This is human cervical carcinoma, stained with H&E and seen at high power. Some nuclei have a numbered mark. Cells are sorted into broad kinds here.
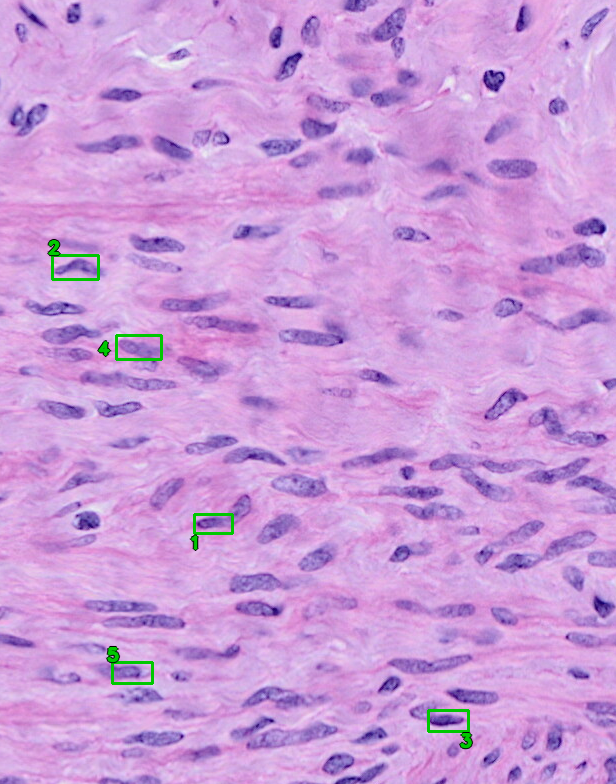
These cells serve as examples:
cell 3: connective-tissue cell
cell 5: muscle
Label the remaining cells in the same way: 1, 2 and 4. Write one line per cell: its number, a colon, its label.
1: muscle
2: connective-tissue cell
4: muscle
